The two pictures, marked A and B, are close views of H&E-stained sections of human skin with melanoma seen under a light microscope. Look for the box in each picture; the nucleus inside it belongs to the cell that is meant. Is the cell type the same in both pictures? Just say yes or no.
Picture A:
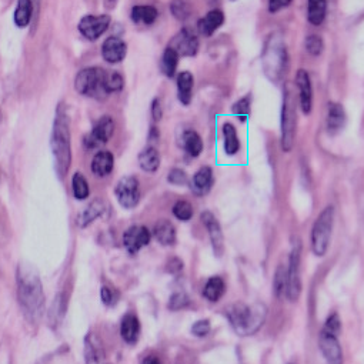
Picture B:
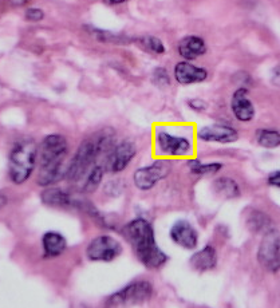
yes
